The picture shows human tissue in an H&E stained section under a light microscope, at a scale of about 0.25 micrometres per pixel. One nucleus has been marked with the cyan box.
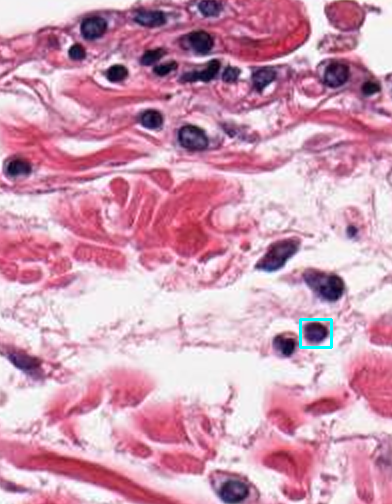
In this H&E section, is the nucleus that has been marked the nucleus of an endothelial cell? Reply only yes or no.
no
